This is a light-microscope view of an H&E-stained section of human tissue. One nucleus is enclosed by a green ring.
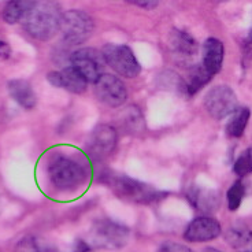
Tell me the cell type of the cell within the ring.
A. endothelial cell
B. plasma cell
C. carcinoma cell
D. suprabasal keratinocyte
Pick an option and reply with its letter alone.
C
